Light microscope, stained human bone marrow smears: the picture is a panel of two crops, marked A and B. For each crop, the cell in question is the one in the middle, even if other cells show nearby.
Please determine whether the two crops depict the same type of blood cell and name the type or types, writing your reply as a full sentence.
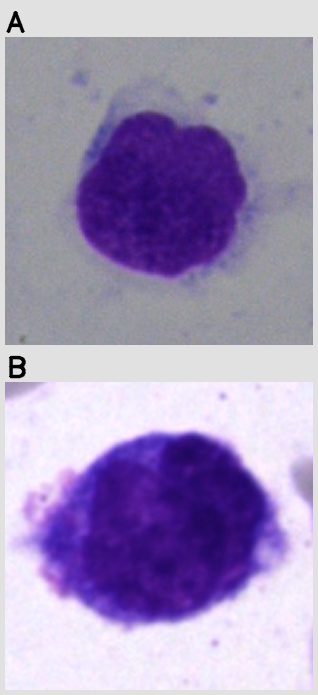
No, while a hairy cell is found in crop A, a monocyte is found in crop B.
